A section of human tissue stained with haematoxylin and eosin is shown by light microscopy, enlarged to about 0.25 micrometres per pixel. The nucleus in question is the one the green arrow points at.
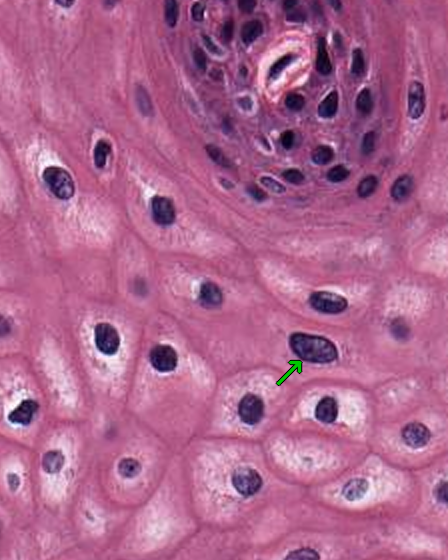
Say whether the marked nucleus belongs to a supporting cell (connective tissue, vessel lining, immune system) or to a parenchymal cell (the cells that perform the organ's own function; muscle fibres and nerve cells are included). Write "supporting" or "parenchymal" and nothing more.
parenchymal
